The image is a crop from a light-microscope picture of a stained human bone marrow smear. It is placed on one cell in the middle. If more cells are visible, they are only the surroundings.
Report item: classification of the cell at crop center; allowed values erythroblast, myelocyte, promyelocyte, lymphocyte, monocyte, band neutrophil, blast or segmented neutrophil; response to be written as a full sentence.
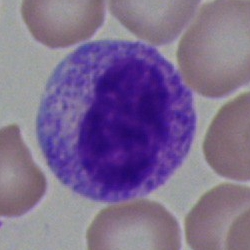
The cell at the middle of the crop is recognized as a myelocyte.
